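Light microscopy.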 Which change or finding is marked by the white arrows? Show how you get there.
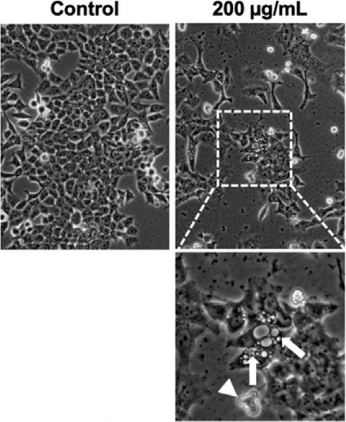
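Cytoplasmic vacuolation. The arrows point to clusters of round, clear, refractile bubbles inside the cells. These bubbles are absent from the densely packed cells of the leftmost image.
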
